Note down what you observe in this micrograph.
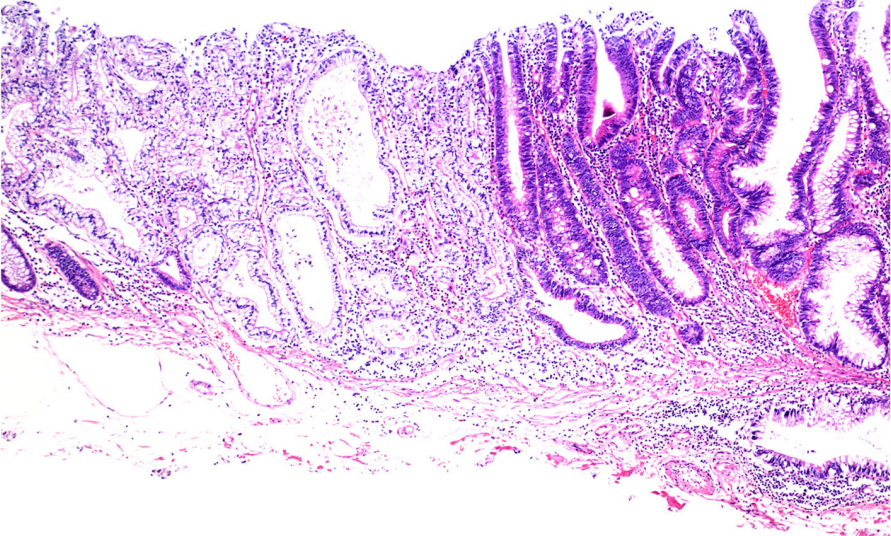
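This is glandular mucosa with two neighbouring kinds of tubules. On the left, the tubules are lined by cells with abundant pale, clear cytoplasm, and some of the glands are irregular and dilated. On the right, the tubules are elongated and crowded. These tubules are lined by tall columnar cells with dark, elongated, pseudostratified nuclei that give them a deep purple colour. Between the glands lies a cellular lamina propria. Beneath the mucosa is a thin pink band of muscle and loose, pale submucosal connective tissue with small vessels.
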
